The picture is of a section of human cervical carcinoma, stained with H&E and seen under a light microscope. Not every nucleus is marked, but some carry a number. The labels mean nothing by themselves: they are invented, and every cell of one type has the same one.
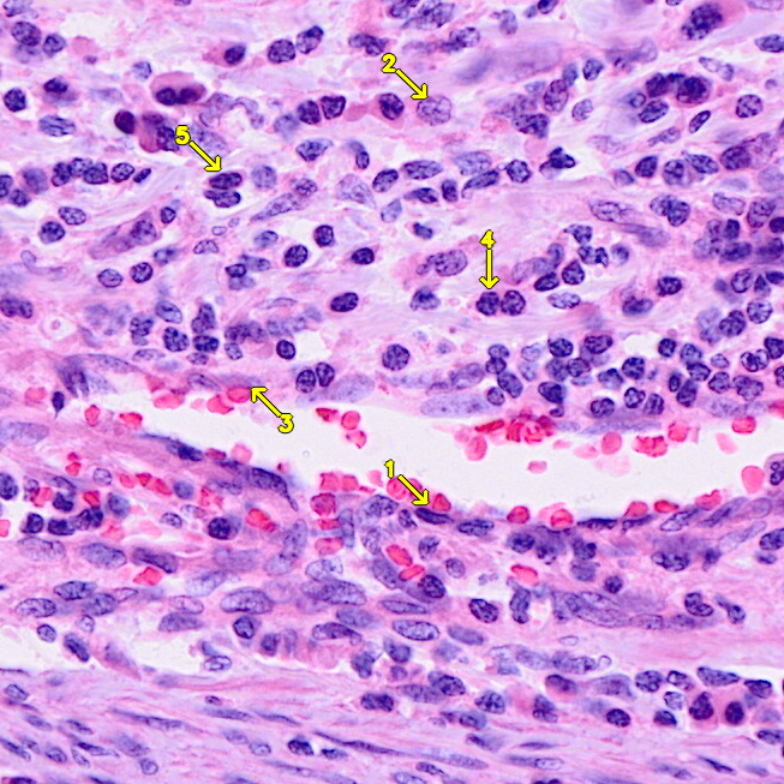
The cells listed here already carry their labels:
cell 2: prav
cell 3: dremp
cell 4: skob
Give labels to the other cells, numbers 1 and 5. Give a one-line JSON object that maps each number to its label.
{"1": "dremp", "5": "skob"}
